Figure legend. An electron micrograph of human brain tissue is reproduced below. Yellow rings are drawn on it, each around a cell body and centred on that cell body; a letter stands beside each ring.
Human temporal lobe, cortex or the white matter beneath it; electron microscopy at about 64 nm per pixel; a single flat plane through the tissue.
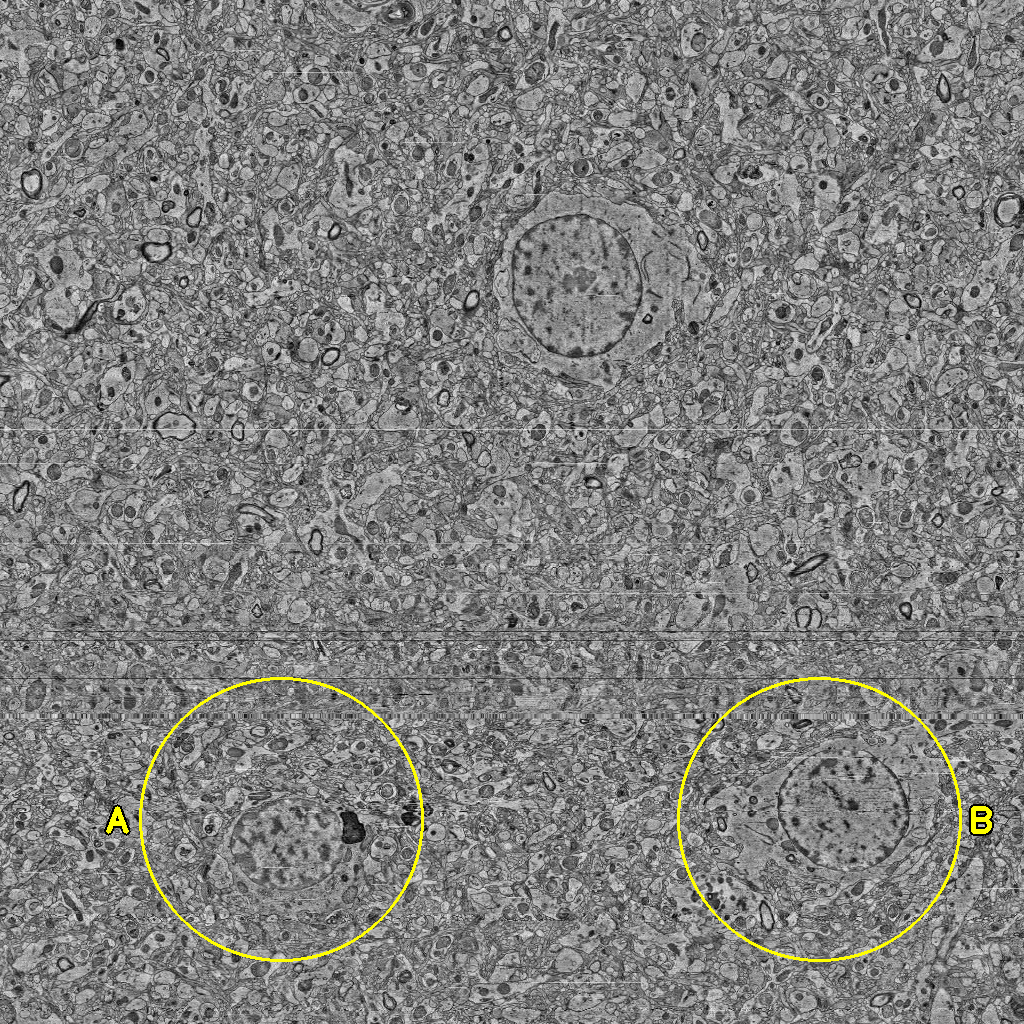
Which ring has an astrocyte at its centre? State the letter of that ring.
B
